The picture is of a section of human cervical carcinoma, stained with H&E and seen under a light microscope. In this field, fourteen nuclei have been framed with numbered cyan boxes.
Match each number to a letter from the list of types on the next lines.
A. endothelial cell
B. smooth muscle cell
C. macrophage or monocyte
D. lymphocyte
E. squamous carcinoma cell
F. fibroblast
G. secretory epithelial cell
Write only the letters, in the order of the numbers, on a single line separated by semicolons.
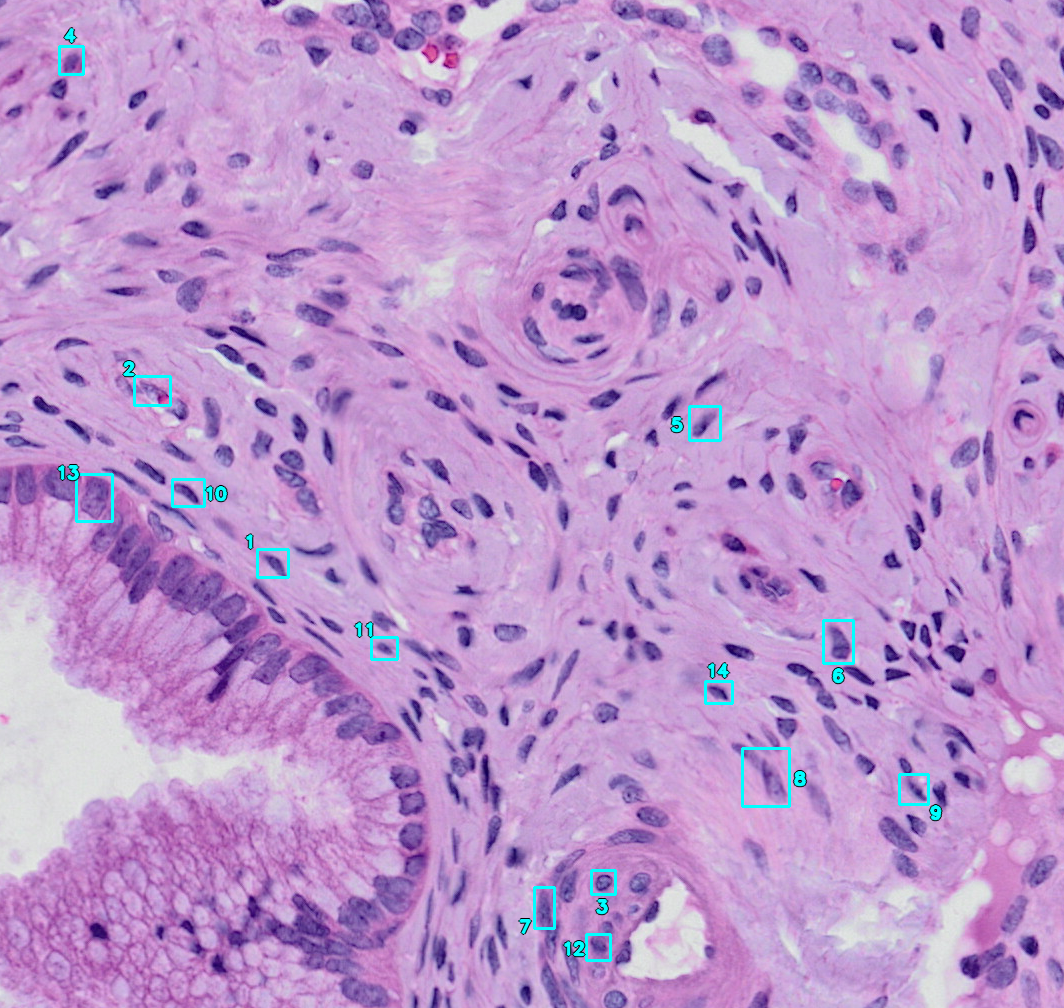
F; A; B; B; F; F; B; F; F; F; F; B; G; F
